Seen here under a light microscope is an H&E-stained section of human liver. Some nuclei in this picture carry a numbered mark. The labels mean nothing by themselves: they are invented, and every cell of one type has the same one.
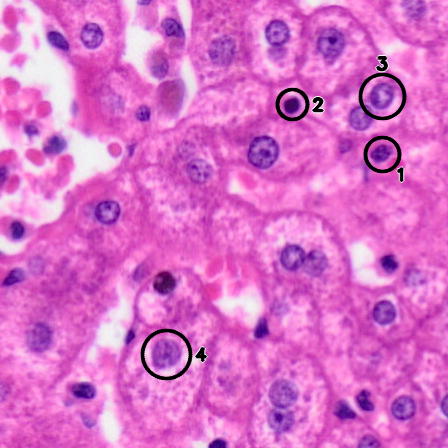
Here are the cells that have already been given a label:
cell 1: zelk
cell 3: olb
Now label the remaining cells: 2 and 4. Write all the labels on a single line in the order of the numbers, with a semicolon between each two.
zelk; olb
